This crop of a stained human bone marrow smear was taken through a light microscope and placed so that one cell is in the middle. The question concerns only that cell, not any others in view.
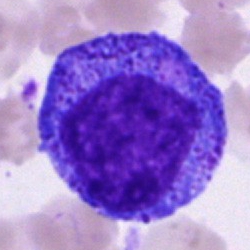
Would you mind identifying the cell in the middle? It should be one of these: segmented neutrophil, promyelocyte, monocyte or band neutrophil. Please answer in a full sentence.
The centrally placed cell is classified as a promyelocyte.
